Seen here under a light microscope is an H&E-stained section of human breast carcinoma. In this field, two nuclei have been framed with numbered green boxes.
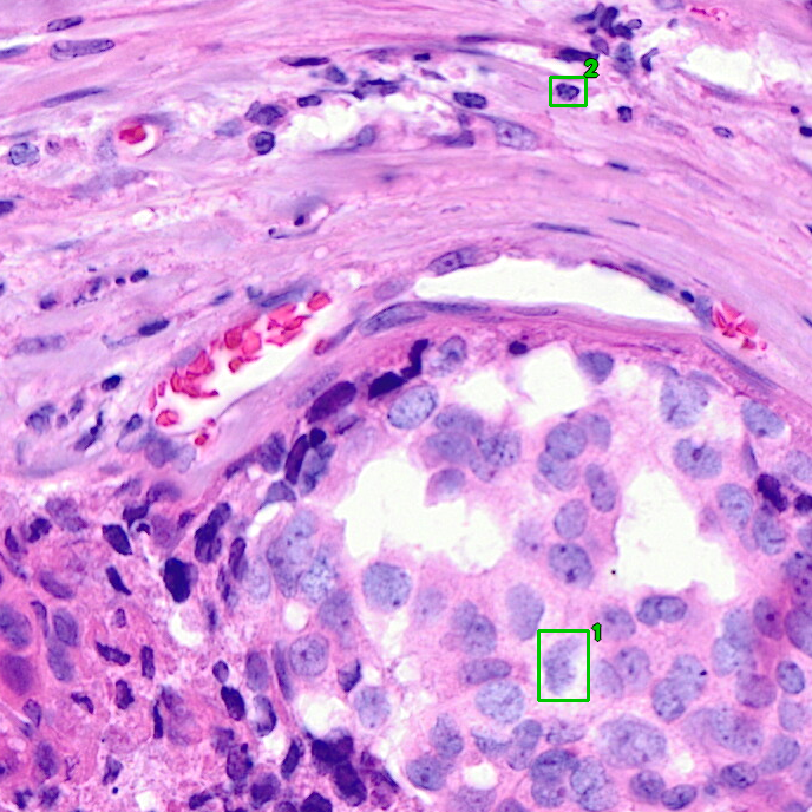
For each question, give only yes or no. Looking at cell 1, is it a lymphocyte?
no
